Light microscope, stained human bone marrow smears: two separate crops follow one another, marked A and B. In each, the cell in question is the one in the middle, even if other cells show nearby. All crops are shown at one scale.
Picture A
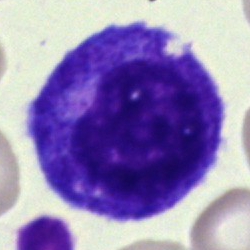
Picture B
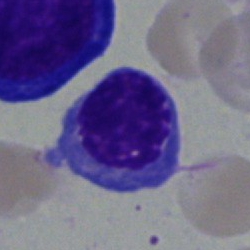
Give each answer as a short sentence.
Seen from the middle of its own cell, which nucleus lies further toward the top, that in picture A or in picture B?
It is the nucleus in picture B that lies further toward the top of its cell.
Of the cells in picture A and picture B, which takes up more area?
Larger is the cell in picture A, at roughly 2.5 times the area of the other.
